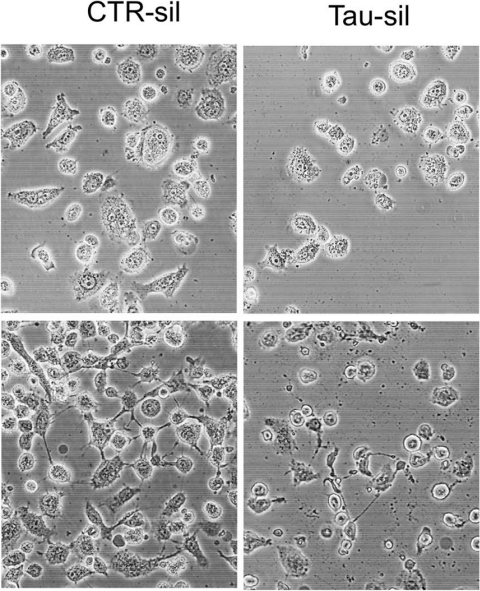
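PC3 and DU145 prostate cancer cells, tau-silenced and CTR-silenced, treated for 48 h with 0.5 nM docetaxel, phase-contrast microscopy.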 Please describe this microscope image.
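The cells differ widely in size, from small round, bright-edged cells to much larger flattened cells. In one field many cells are spread out and reach toward one another with long thin processes, forming a loose network. In the other fields most cells are rounded or clustered, with few or no such processes.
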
